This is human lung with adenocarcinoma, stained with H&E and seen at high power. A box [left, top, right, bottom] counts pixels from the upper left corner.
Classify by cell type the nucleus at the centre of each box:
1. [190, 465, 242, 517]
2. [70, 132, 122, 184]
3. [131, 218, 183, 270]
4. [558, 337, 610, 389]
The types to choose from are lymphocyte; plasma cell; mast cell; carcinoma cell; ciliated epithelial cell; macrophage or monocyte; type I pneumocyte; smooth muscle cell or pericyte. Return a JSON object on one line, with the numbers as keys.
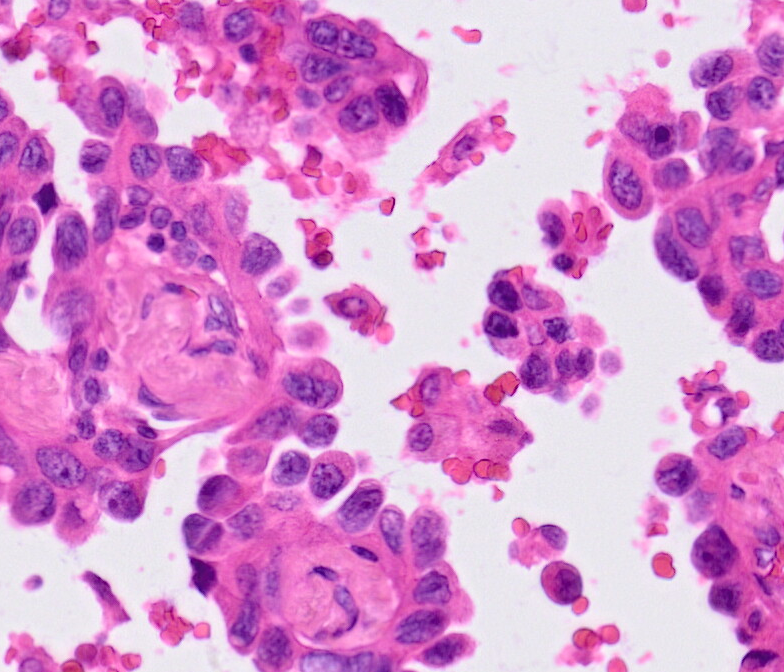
{"1": "carcinoma cell", "2": "carcinoma cell", "3": "lymphocyte", "4": "carcinoma cell"}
